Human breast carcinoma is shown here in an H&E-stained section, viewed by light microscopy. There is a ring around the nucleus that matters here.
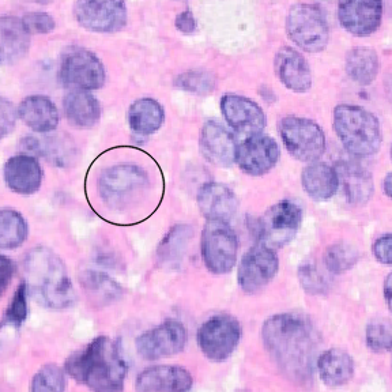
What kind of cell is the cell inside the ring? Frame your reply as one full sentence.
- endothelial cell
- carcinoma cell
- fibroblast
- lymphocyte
Within this tissue, the cell inside the ring is a carcinoma cell.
